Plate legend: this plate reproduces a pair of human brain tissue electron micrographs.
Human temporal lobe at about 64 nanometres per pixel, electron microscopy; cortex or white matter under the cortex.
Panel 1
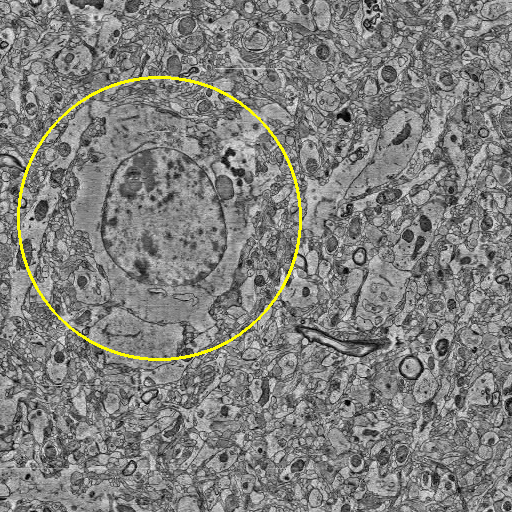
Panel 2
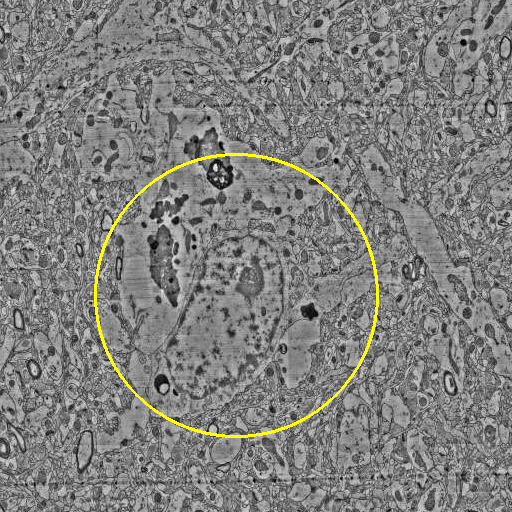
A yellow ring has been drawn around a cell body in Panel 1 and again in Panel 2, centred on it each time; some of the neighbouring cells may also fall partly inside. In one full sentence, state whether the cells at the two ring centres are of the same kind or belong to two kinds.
The ring-centred cells of Panel 1 and Panel 2 belong to two kinds.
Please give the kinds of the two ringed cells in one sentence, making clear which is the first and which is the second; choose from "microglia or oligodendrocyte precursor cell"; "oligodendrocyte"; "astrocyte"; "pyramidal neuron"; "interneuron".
In the second picture the ringed cell is an interneuron; in the first it is an astrocyte.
